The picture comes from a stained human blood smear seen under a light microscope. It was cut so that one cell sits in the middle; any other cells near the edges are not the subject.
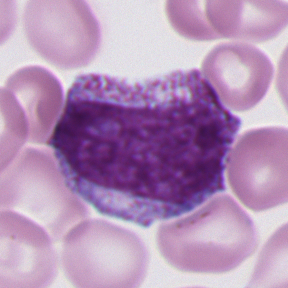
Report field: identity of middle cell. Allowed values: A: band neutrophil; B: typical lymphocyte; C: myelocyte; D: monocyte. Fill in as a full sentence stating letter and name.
Option C is correct in naming the middle cell a myelocyte.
